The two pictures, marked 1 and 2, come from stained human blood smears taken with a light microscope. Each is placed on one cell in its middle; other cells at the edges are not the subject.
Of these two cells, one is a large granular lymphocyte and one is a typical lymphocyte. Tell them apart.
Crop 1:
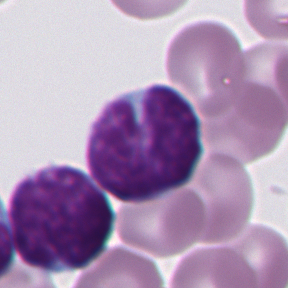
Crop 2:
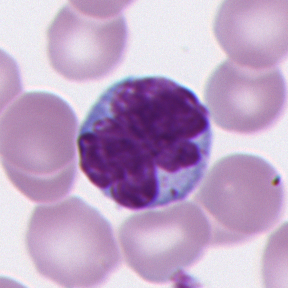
1: typical lymphocyte
2: large granular lymphocyte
